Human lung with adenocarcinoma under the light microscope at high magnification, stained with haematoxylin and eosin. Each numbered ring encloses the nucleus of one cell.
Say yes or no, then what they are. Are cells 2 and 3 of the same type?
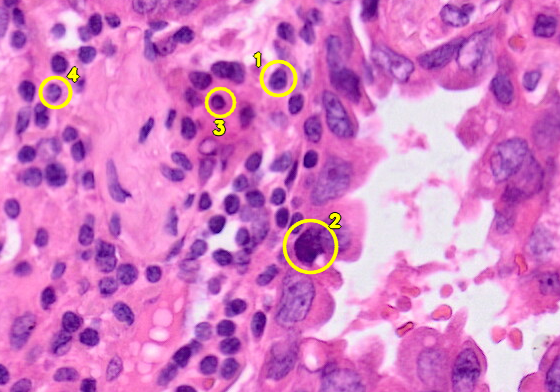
No, cell 2 is a carcinoma cell, and in contrast cell 3 is a lymphocyte.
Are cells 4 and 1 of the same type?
Yes, by their numbers, cells 4 and 1 are both lymphocytes.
